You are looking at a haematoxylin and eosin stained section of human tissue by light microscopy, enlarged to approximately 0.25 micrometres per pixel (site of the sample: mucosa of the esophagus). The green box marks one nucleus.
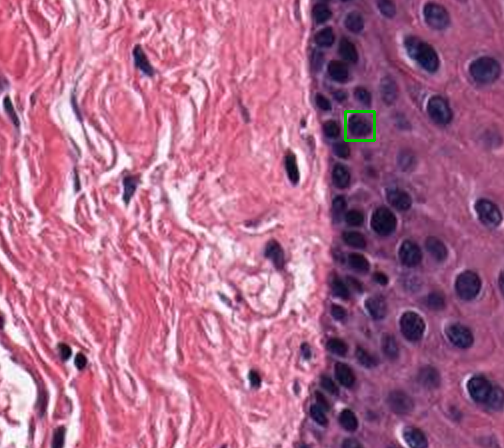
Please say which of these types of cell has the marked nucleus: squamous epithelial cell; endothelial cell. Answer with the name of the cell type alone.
squamous epithelial cell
